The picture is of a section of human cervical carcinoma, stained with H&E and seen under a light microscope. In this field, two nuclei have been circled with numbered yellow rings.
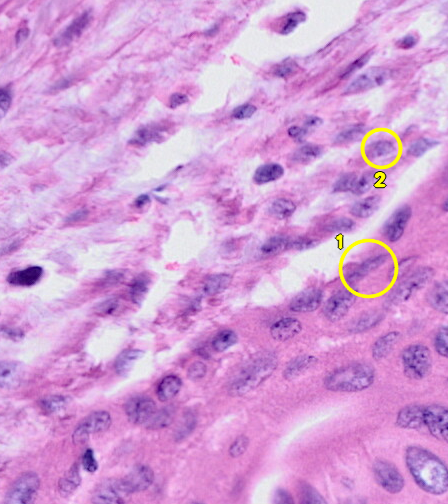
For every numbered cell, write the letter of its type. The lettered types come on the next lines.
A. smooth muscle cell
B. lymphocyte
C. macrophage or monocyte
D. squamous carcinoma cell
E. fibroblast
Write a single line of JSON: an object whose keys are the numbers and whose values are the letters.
{"1": "D", "2": "E"}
